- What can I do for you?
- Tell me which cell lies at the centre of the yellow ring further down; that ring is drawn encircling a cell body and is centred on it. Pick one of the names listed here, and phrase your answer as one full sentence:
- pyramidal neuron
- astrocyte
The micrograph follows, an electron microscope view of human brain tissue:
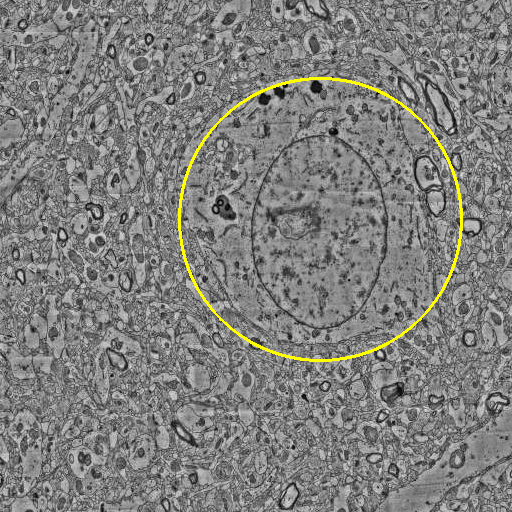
The cell whose body lies at the centre of the yellow ring is a pyramidal neuron.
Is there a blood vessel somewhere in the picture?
No, there is none.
